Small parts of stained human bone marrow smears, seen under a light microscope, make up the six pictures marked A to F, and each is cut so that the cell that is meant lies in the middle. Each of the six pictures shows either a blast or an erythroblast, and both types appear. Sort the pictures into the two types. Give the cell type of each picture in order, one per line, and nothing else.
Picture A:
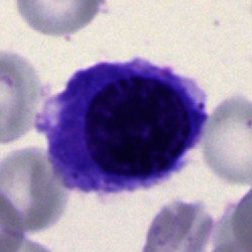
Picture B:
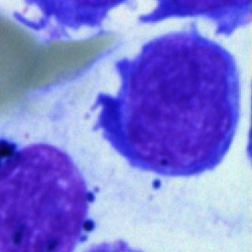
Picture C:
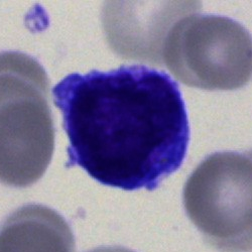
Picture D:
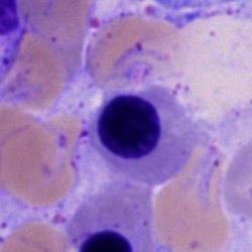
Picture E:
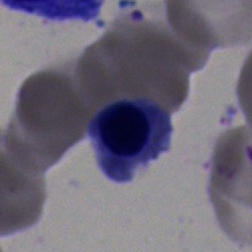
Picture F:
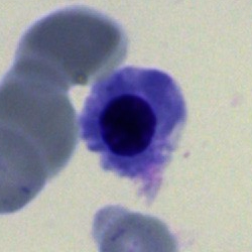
erythroblast
blast
blast
erythroblast
erythroblast
erythroblast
